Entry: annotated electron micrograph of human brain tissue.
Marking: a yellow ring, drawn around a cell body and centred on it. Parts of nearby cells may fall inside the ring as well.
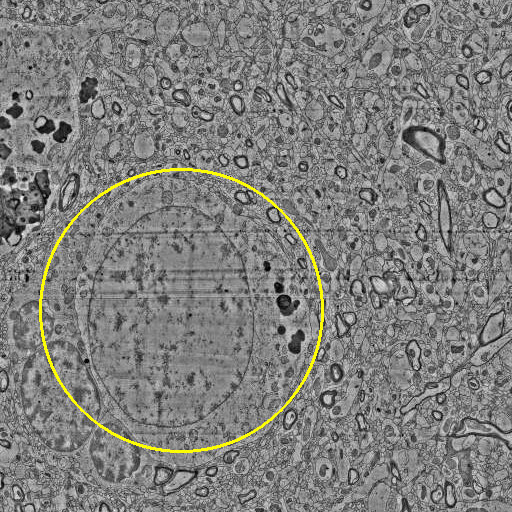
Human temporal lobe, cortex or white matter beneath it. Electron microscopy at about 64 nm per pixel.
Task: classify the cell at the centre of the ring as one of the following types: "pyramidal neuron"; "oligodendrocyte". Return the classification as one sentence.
The marked cell is classified as a pyramidal neuron.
